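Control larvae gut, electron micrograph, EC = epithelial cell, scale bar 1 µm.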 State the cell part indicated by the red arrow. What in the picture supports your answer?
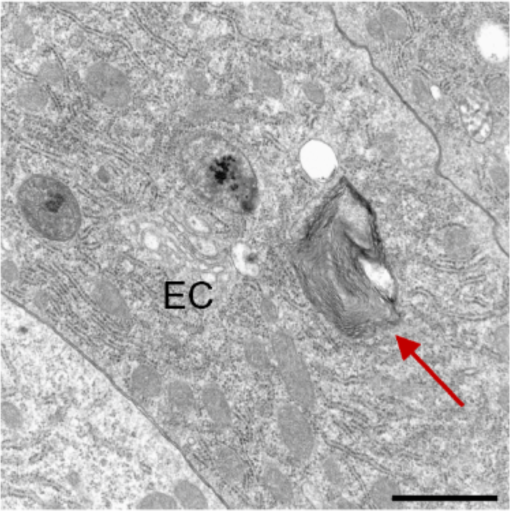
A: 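A membrane-bounded body with whorled, layered content lies in the epithelial cytoplasm. It is surrounded by mitochondria and stacked membranes. So: lysosomal structure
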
